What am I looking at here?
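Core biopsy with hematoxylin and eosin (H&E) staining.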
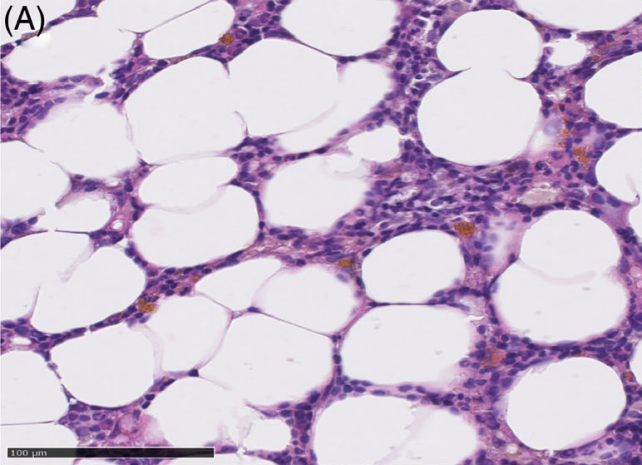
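This is a section of bone marrow in which hematopoietic tissue lies in narrow cords between numerous large fat cells. The fat cells appear as big, round to polygonal empty spaces with thin pink borders and make up much of the area. Between them, small cells with round, dark purple nuclei are packed densely in a pink background. Scattered clumps of golden-brown pigment lie among these cells.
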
